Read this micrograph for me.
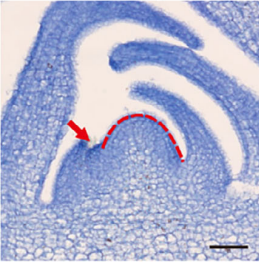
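This lengthwise section shows a meristem that has grown into a taller, broader dome than a vegetative tip, capped by small, densely packed blue-stained cells. On its flank, where the arrow points, a small bulge of similarly small, dense cells is beginning to swell out from the side of the dome. Curved, elongated organs arch over and around the dome. Beneath it the cells are larger, paler and more vacuolated, forming the broader base of the axis.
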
